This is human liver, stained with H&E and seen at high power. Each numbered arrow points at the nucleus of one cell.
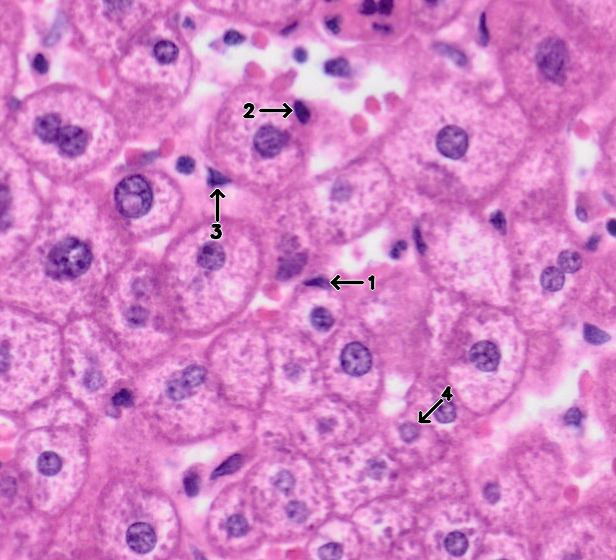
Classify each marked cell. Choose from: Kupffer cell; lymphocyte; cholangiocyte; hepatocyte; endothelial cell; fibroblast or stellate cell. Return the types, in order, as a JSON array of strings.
["fibroblast or stellate cell", "fibroblast or stellate cell", "endothelial cell", "hepatocyte"]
